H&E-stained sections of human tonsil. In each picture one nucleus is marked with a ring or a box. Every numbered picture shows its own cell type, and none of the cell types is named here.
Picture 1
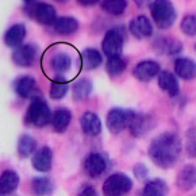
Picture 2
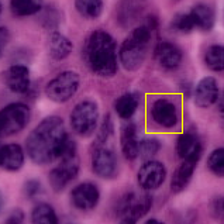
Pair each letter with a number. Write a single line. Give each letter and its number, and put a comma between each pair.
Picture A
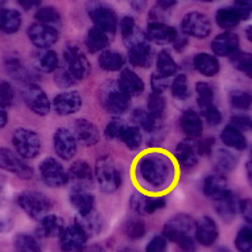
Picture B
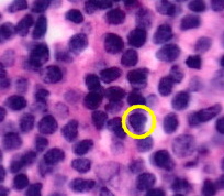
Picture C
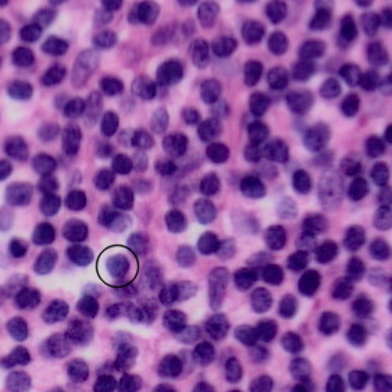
A 2, B 1, C 1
